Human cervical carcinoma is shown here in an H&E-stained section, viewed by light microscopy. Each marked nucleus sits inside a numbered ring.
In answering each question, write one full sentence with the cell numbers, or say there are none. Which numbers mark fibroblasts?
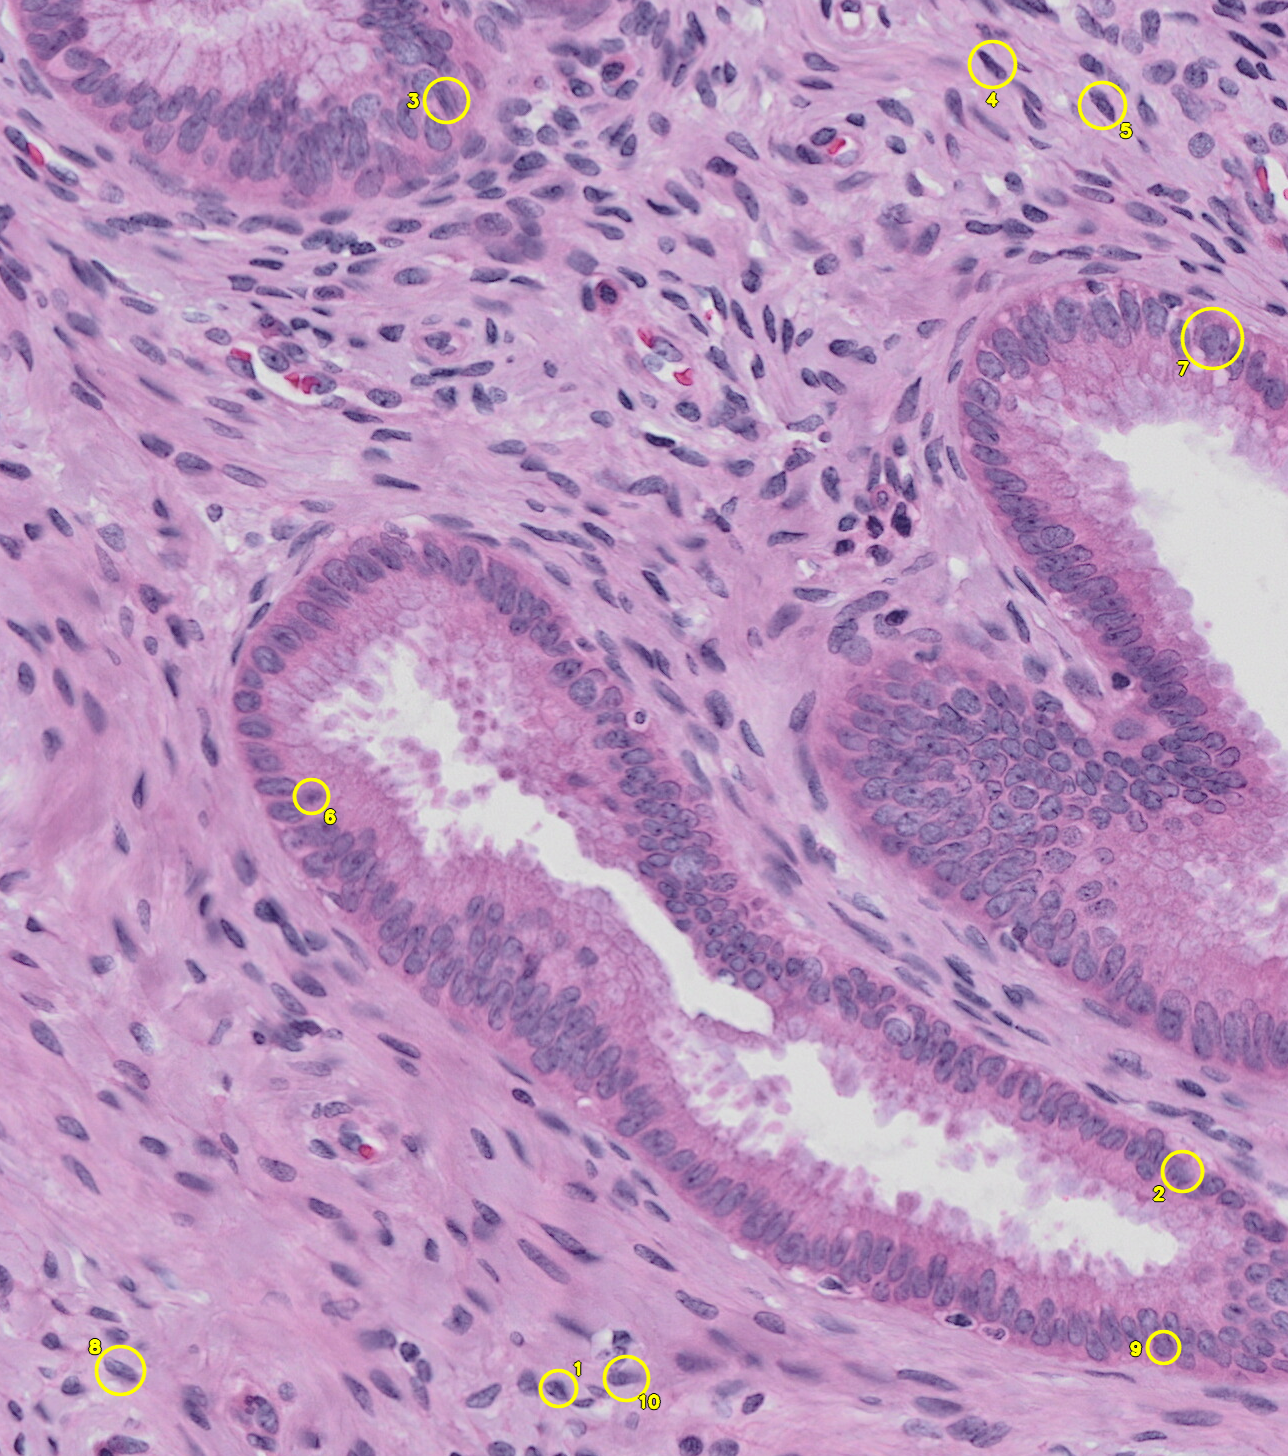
As for the cells numbered 1, 4, 5, 8 and 10, they are fibroblasts.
